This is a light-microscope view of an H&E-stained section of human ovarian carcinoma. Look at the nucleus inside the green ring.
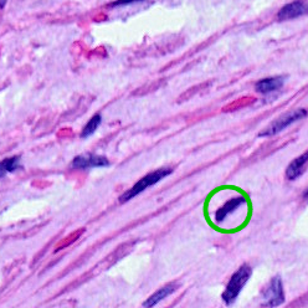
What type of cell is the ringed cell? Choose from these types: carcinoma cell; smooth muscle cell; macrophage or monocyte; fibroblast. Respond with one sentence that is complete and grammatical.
Cell type answer for this item: the ringed cell is a fibroblast.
